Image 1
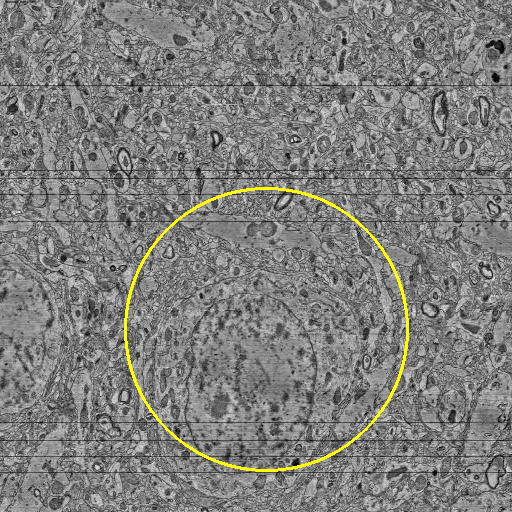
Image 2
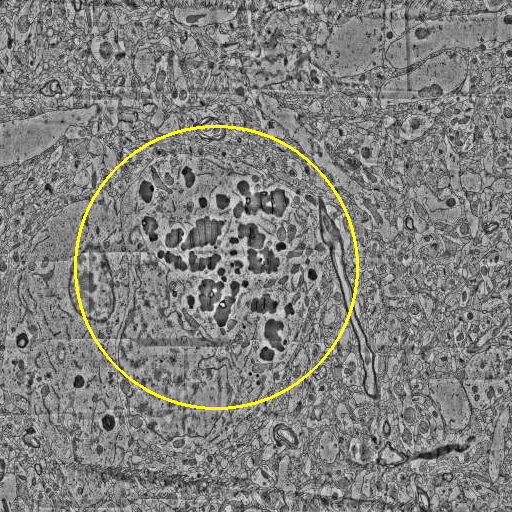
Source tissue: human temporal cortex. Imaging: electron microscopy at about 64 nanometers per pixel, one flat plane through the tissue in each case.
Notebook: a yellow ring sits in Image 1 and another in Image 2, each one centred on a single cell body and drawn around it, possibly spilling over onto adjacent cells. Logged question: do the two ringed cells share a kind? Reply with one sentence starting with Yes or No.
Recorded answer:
Yes, both centre cells inside the rings of Image 1 and Image 2 share one kind.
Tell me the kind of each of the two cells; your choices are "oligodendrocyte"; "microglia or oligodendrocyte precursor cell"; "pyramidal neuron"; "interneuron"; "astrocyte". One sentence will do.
In both pictures the ring is centred on an interneuron.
